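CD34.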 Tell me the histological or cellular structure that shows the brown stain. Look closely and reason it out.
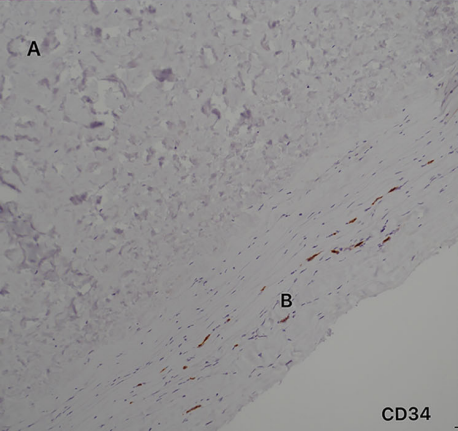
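Small vessels. Scattered small brown elongated profiles lie in the lower right band of parallel fibres. The upper left region has no brown profiles.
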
